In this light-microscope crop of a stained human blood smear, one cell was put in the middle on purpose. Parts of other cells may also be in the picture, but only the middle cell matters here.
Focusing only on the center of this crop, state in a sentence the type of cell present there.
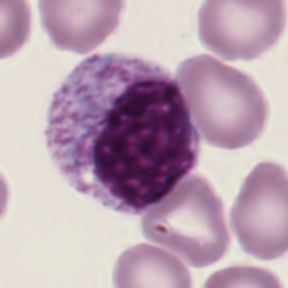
Seen at the centre of the crop is a metamyelocyte.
